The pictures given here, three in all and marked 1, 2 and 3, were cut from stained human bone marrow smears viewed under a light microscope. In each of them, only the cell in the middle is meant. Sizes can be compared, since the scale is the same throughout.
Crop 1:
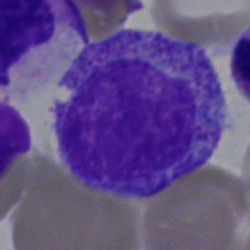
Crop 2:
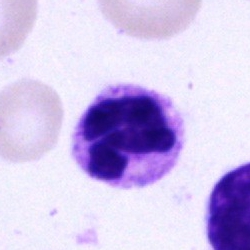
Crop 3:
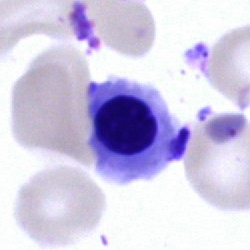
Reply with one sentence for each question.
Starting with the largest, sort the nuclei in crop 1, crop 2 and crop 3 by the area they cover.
Largest first: 1, 2, 3.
